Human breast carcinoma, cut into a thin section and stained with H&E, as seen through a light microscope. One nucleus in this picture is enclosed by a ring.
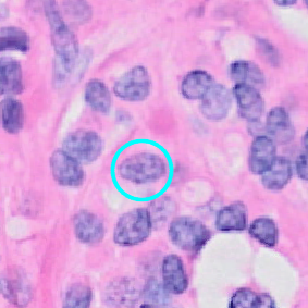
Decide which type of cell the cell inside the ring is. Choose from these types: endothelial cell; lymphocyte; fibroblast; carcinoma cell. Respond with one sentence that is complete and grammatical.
The category to which the cell inside the ring belongs is that of a carcinoma cell.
